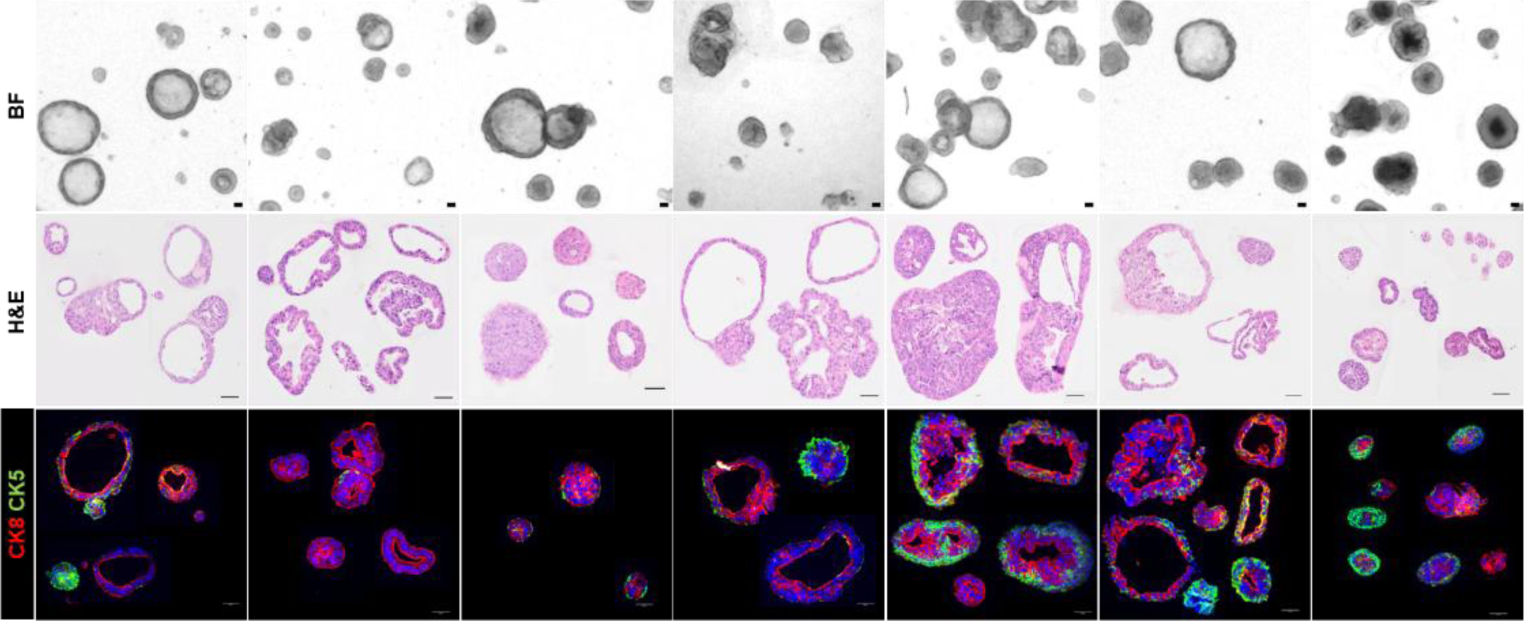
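In brightfield they are rounded grey bodies of differing size, some with a paler centre and others uniformly dark. The stained sections show that many are hollow, with a thin or folded epithelial wall around an empty lumen, while others are packed solid with cells throughout. Some organoids have a thick, multilayered wall crowding in on the lumen, while others are small and solid with a green outer rim.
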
